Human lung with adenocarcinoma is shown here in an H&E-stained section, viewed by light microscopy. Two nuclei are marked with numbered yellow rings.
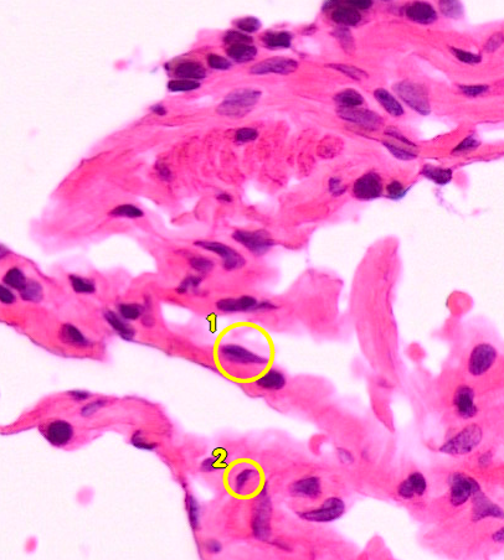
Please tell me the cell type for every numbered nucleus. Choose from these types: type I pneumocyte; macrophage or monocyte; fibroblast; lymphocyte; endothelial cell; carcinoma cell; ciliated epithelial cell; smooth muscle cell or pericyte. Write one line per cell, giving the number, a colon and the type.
1: type I pneumocyte
2: smooth muscle cell or pericyte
